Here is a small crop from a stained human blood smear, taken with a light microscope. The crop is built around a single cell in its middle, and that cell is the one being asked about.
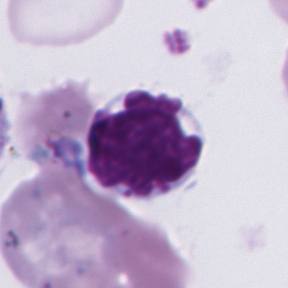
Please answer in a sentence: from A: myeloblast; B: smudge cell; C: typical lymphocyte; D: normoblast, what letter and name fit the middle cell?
The centrally positioned cell is a typical lymphocyte, consistent with option C, which is correct.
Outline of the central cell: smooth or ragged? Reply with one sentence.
The cell shows a smooth outline that lacks any surface projections.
